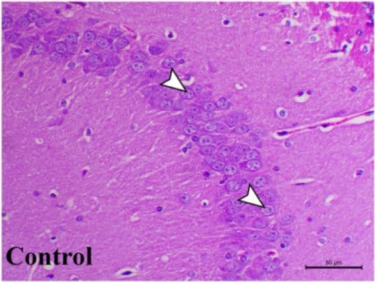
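This is the pyramidal cell layer of the hippocampus, a curved band of closely packed large neurons running diagonally through the field. Each neuron has a pale purple cell body with a round, clear nucleus and a distinct dark nucleolus. On either side lies the pink, finely fibrillar neuropil with scattered small glial nuclei and a few small blood vessels.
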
